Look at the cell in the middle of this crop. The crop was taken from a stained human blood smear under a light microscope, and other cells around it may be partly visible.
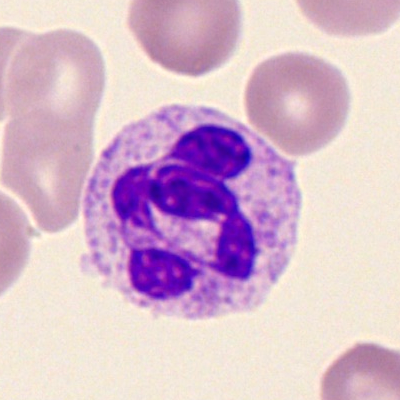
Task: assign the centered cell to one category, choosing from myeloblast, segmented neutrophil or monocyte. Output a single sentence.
What sits at the centre of this crop is a segmented neutrophil.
